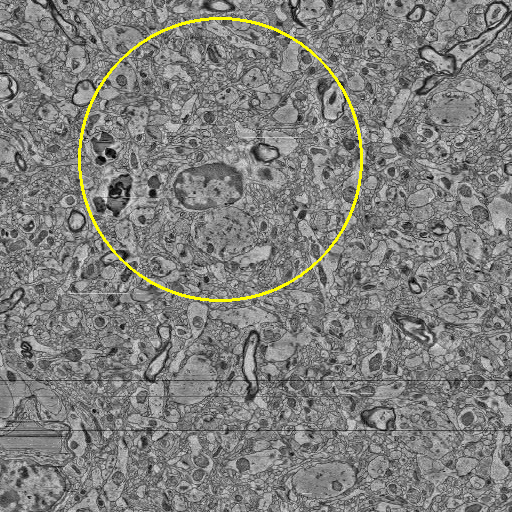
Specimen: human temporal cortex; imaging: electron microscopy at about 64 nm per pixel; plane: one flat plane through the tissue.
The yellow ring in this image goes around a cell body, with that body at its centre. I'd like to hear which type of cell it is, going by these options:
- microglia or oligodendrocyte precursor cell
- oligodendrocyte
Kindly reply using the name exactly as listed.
microglia or oligodendrocyte precursor cell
